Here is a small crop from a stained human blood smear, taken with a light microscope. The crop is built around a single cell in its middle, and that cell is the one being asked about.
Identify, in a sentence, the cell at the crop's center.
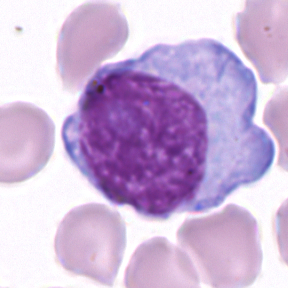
Classified as a plasma cell is the cell in the middle of this crop.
